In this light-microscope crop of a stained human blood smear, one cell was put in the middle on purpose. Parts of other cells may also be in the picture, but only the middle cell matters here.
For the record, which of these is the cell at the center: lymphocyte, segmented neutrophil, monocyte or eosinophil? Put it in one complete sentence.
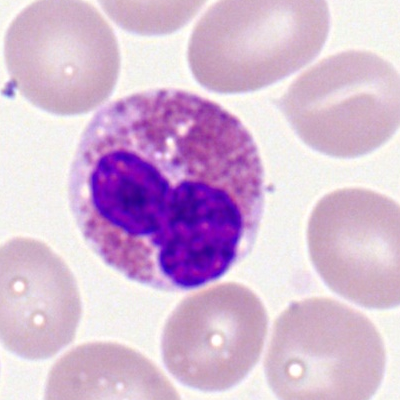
Regarding the central cell, it is an eosinophil.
